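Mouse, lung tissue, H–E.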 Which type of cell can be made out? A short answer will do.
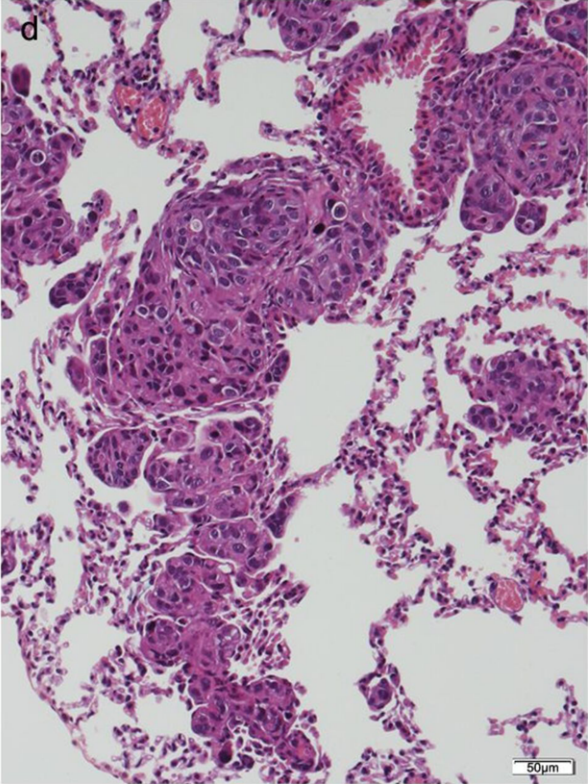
Malignant epithelial cells.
